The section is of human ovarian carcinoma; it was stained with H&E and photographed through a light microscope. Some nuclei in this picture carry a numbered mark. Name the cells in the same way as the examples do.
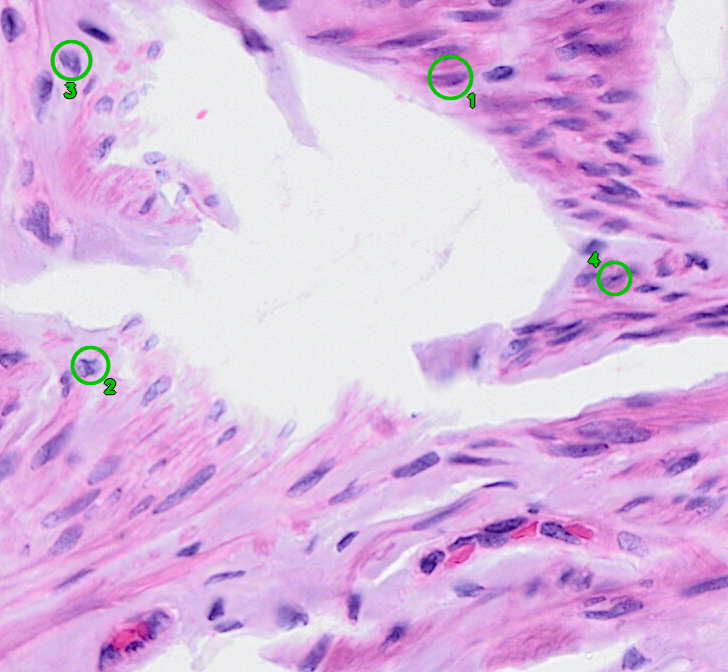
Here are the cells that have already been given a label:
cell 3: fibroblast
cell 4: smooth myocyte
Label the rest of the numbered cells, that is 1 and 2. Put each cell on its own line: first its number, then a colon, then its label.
1: smooth myocyte
2: fibroblast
